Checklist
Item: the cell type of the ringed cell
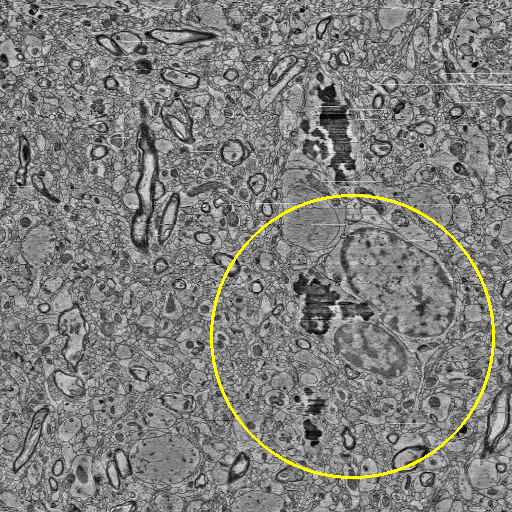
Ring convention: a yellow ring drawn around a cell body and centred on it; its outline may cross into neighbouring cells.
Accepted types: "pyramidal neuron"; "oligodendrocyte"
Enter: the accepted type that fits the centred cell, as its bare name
oligodendrocyte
